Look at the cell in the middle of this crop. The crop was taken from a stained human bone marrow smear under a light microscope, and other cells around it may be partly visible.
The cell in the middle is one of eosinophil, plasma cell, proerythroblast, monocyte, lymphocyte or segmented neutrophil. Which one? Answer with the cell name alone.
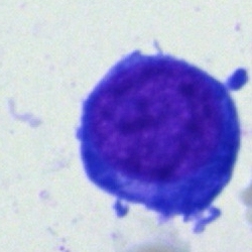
proerythroblast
